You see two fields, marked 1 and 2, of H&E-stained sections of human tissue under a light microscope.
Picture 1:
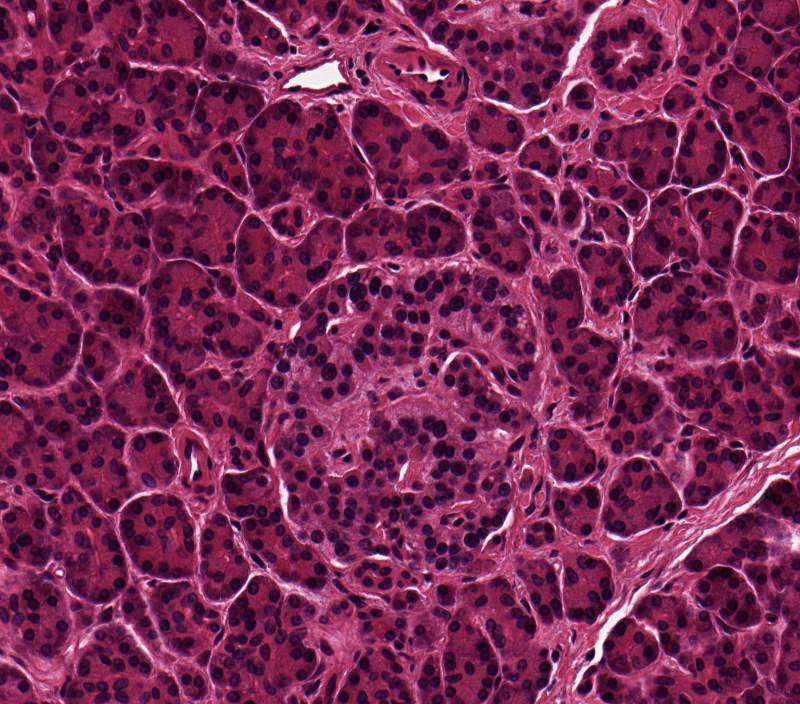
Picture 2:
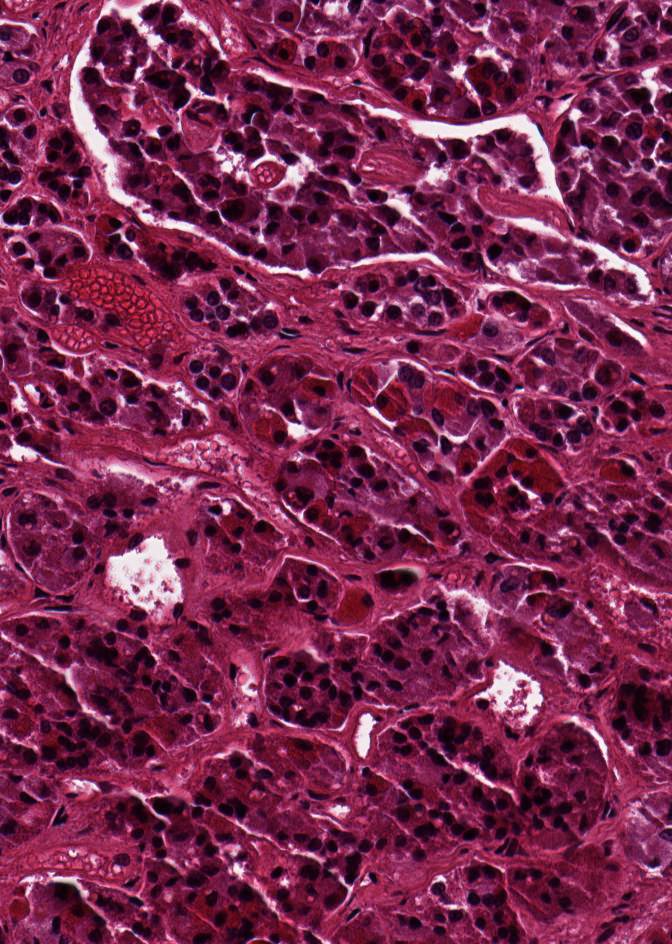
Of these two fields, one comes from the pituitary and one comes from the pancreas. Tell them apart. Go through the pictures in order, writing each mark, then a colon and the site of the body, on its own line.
1: pancreas
2: pituitary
